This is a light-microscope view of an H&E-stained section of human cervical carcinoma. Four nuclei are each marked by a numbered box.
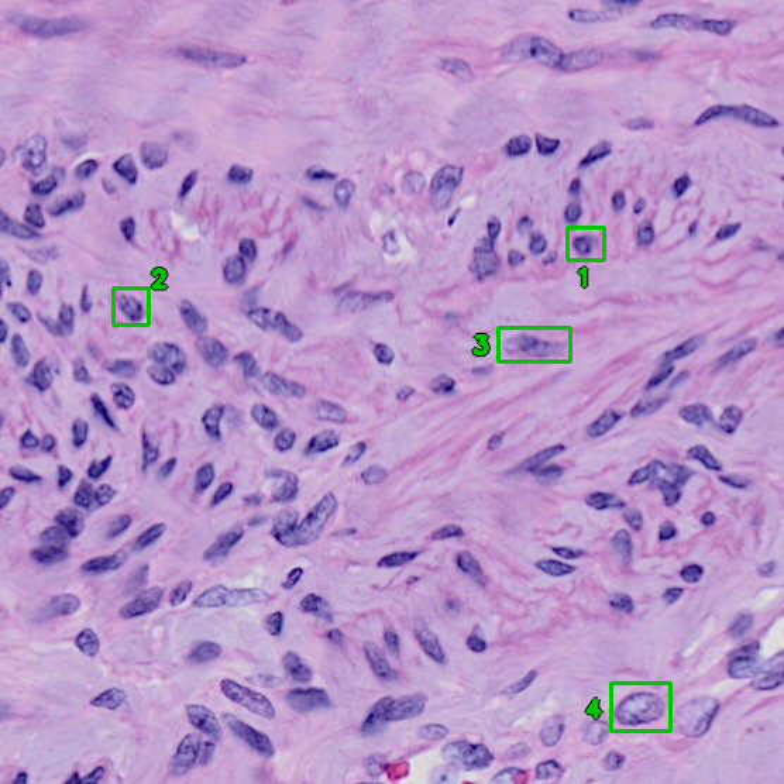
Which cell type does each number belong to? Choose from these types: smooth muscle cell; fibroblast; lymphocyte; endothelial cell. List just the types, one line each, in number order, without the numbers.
smooth muscle cell
smooth muscle cell
smooth muscle cell
endothelial cell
